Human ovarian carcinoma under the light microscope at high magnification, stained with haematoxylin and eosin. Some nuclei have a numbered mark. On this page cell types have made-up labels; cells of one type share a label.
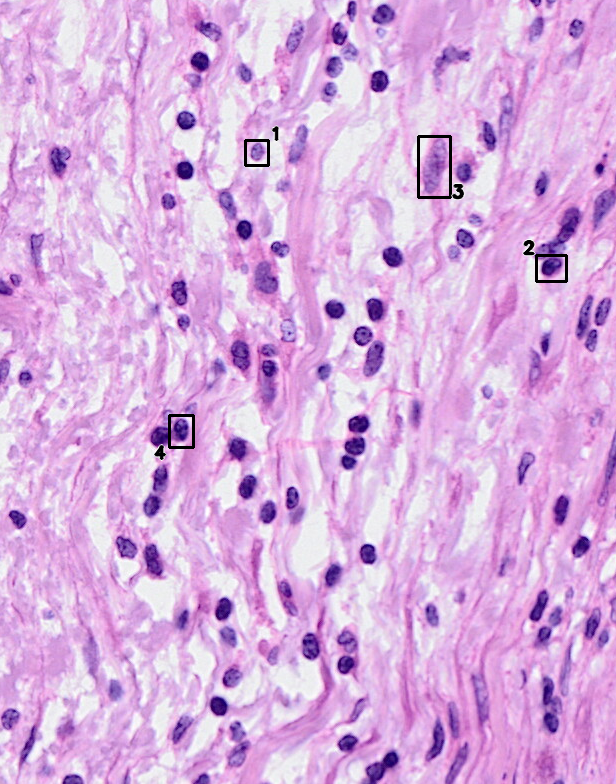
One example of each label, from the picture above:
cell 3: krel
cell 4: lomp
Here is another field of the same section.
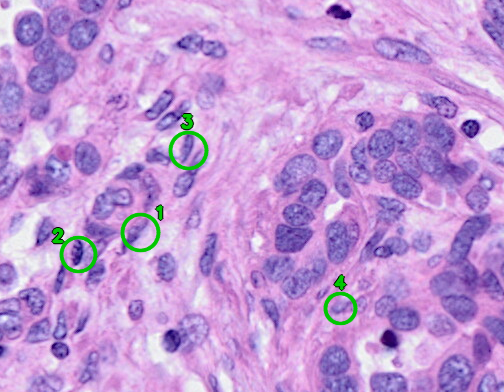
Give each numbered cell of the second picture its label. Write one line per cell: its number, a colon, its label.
1: krel
2: lomp
3: krel
4: krel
